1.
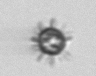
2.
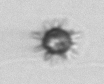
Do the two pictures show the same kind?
Yes, both are Rhabdosphaera.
